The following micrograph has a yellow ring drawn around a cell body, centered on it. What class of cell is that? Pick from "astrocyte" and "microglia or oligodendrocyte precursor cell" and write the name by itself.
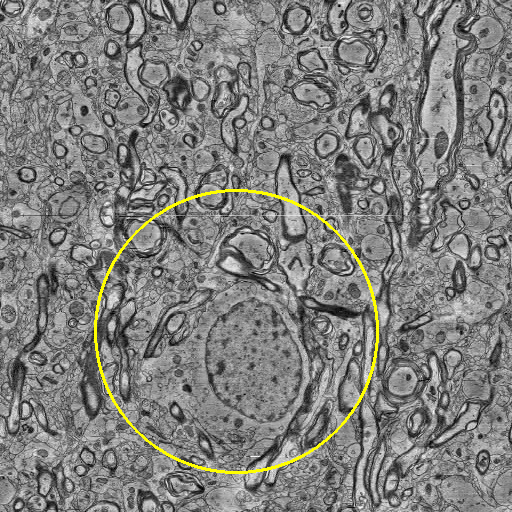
astrocyte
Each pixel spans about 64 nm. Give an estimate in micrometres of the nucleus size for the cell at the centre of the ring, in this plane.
Roughly 8 micrometres by 6 micrometres, in this plane.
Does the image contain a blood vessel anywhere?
No, none shows.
